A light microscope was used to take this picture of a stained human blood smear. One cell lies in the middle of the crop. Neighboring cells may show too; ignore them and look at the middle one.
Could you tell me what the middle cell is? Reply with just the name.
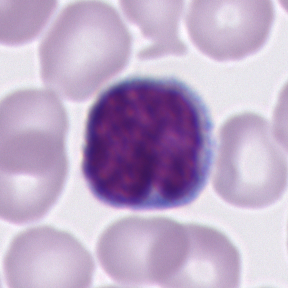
lymphocyte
